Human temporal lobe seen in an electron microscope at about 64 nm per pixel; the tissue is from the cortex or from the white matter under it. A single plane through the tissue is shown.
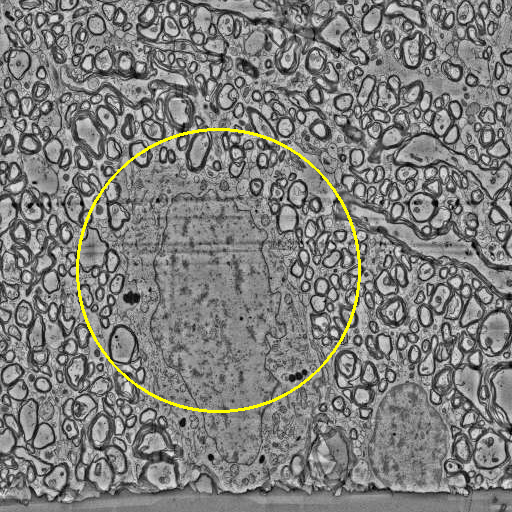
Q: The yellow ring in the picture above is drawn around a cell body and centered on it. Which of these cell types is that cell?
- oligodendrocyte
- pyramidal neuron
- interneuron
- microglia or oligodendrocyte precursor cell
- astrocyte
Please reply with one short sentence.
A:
The cell body at the ring's center belongs to a pyramidal neuron.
